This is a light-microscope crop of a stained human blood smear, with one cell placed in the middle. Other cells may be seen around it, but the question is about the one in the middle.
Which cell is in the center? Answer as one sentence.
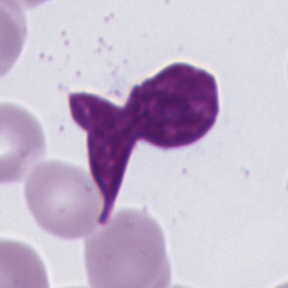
The crop centres on a single cell, and that cell is a smudge cell.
